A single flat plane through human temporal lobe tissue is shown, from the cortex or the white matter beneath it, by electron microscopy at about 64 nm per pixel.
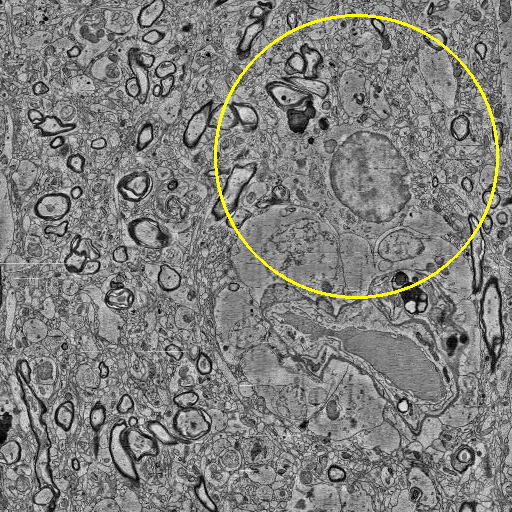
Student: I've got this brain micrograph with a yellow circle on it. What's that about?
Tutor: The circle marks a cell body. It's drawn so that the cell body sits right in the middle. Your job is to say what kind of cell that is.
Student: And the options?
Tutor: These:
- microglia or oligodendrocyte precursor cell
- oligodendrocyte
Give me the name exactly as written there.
oligodendrocyte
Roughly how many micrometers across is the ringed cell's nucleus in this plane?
In this plane, about 6 micrometres in length and 5 in width.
